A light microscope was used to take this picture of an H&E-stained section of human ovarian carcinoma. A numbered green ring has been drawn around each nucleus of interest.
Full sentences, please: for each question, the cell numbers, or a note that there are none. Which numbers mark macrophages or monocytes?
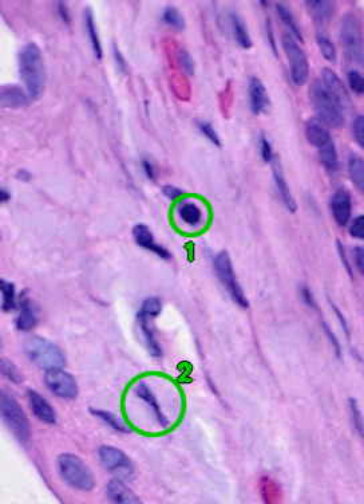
In short, macrophages or monocytes do not occur among the numbered cells.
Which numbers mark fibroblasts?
The one cell that is a fibroblast is cell 2, and no other.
